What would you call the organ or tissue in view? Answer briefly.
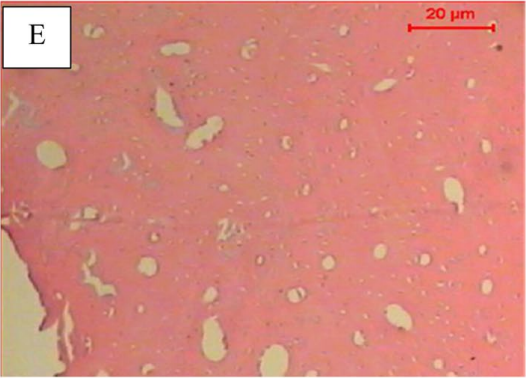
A: Mature bone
